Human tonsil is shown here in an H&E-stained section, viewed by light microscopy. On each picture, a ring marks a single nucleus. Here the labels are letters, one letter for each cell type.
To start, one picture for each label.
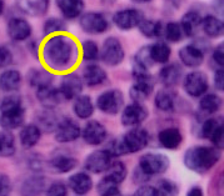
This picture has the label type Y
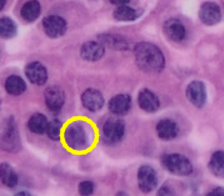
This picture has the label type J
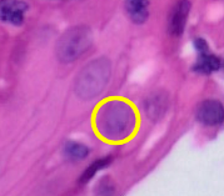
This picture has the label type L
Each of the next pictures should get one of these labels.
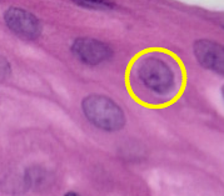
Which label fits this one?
type L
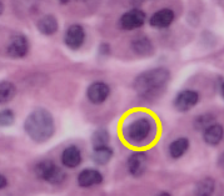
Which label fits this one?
type J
